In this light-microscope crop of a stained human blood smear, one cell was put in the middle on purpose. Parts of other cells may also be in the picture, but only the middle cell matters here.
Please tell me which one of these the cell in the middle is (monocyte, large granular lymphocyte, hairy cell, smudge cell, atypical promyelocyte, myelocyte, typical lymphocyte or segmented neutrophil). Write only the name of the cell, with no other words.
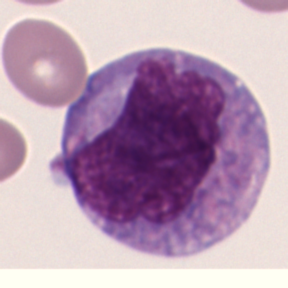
atypical promyelocyte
